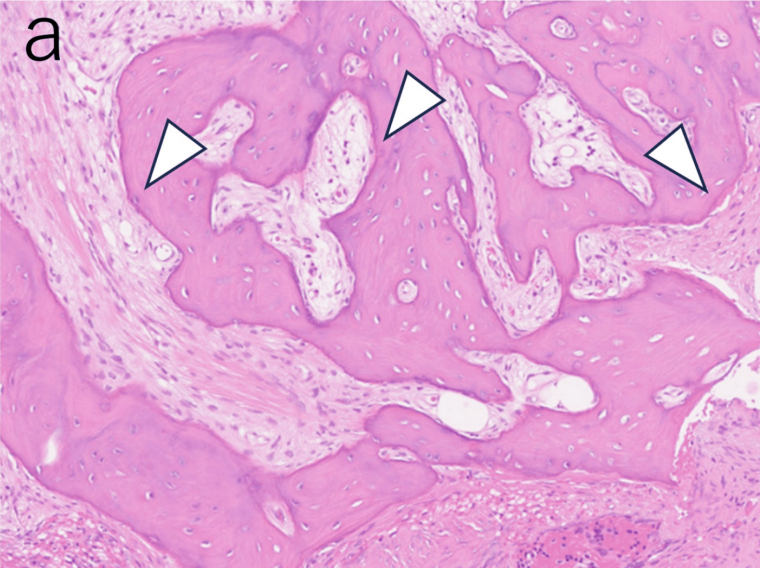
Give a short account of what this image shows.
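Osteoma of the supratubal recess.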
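This is dense bone growing in broad, curving bands, with fibrous connective tissue running between them. The bone stains solid pink and shows a faintly layered texture, with many small osteocytes sitting in lacunae scattered through it. Between the bony bands lie paler strips and islands of fibrous tissue containing spindle-shaped nuclei and small blood vessels. The bands follow arching courses around these fibrous spaces.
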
